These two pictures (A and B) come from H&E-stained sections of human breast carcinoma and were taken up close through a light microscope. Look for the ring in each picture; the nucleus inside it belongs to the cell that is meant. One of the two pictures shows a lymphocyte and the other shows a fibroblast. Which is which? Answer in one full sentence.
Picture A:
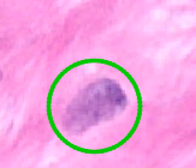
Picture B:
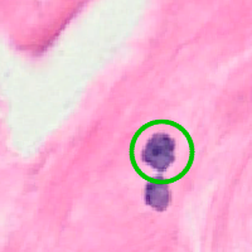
Picture A shows a fibroblast and picture B shows a lymphocyte.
